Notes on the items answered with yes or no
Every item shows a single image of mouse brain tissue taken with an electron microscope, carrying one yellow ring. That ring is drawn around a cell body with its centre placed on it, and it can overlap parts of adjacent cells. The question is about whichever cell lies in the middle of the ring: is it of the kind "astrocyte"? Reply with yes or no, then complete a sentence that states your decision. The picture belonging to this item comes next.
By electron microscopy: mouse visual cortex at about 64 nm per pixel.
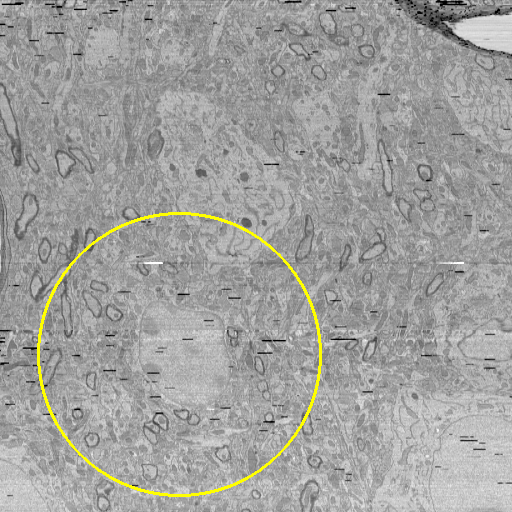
Yes, this micrograph shows a cell of that kind in the middle of the ring.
